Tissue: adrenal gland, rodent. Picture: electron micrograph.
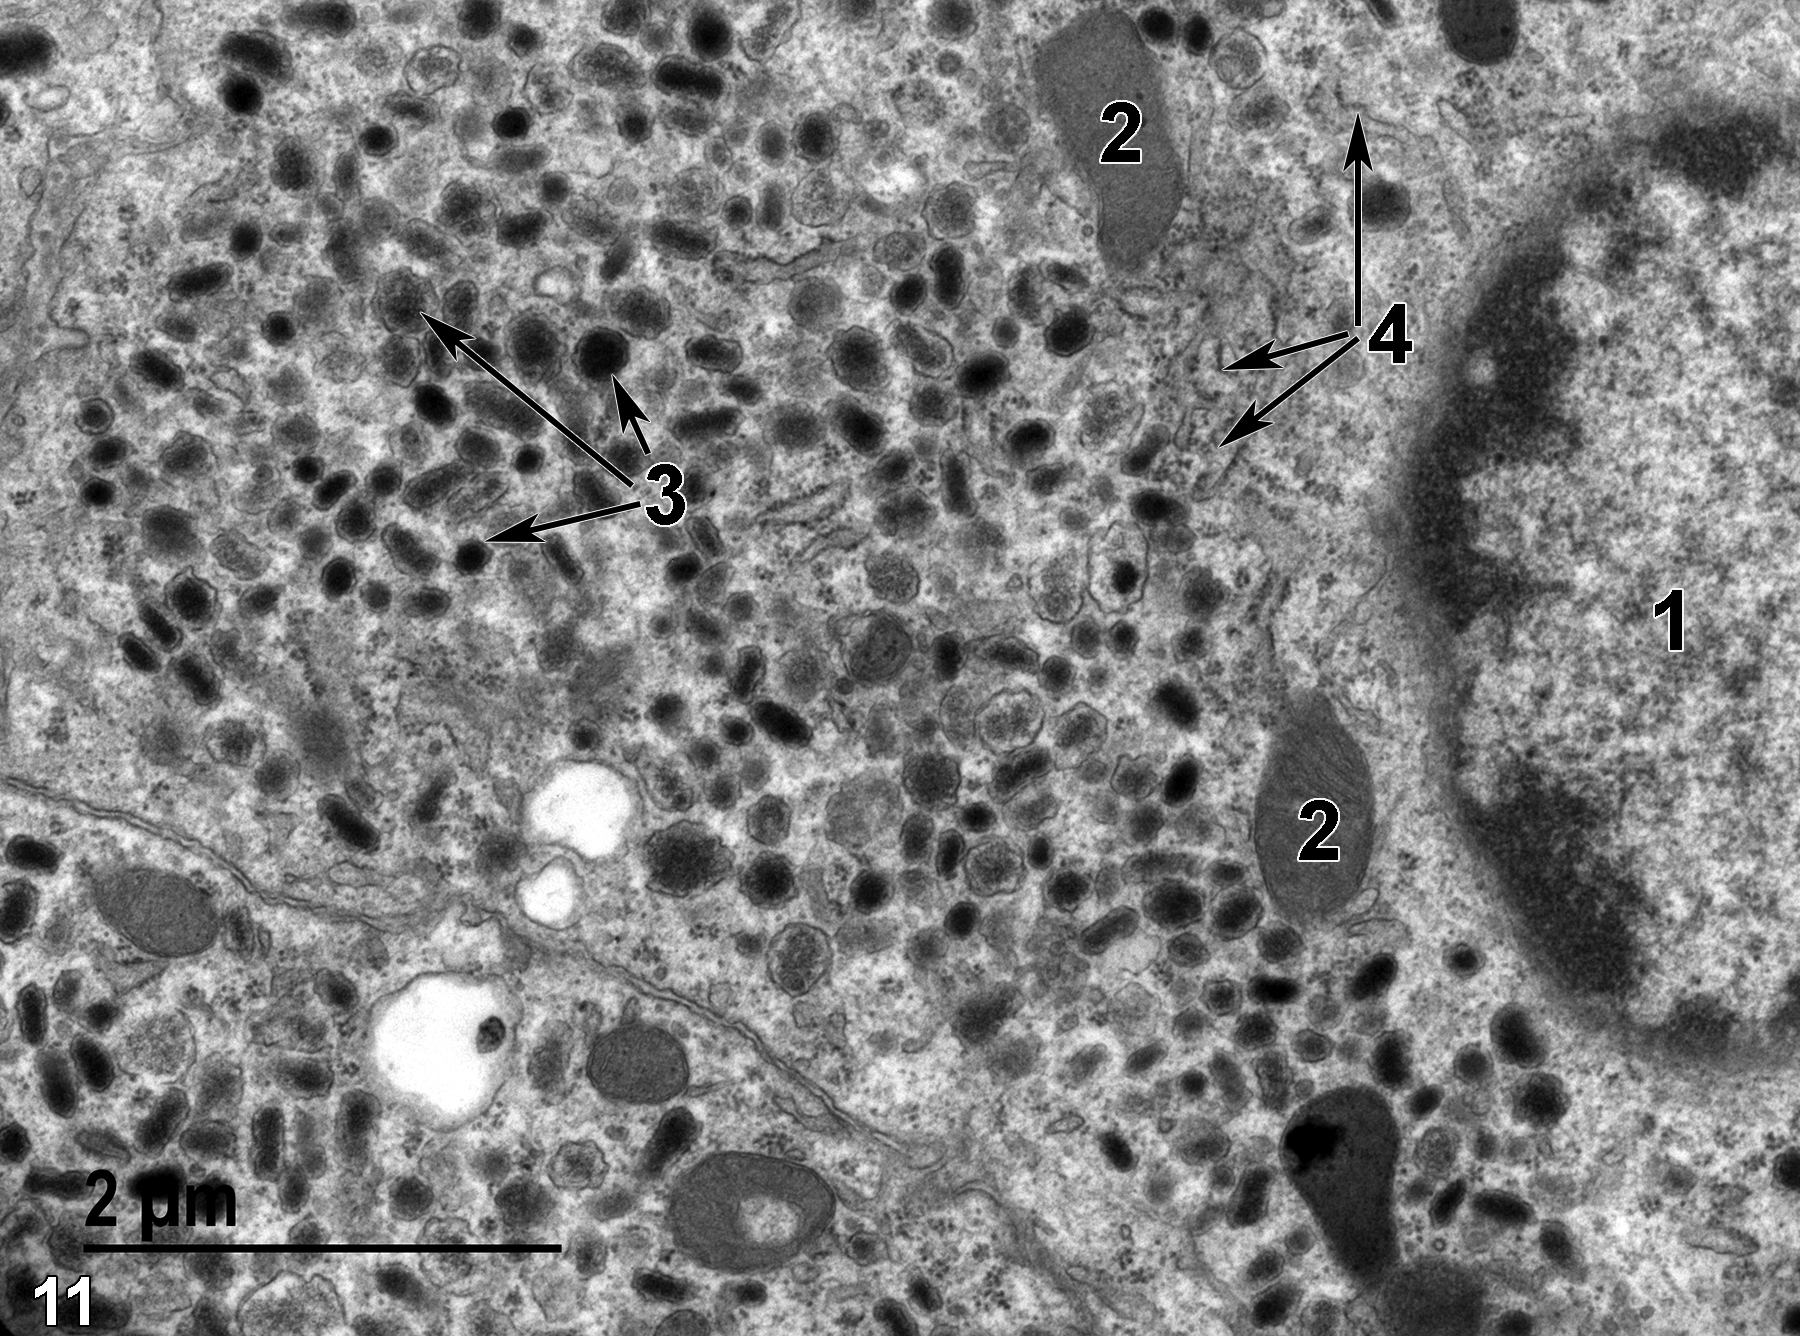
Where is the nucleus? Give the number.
Number 1.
